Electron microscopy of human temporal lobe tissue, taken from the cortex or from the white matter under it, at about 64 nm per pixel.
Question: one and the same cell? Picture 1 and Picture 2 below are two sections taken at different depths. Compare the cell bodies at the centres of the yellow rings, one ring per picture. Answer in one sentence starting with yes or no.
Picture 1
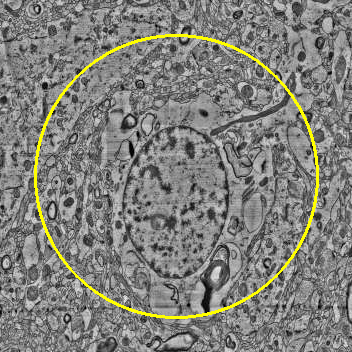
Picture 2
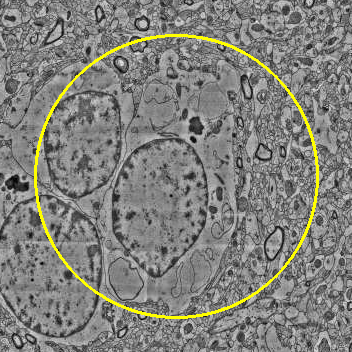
No, these are two different cells, each marked with a ring.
